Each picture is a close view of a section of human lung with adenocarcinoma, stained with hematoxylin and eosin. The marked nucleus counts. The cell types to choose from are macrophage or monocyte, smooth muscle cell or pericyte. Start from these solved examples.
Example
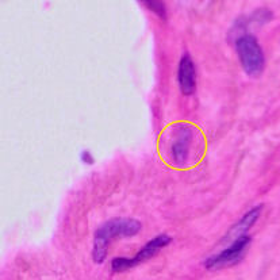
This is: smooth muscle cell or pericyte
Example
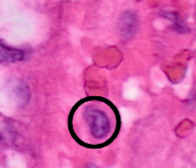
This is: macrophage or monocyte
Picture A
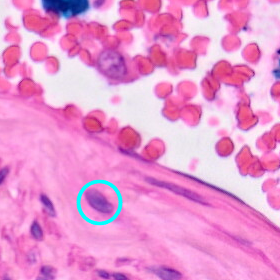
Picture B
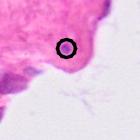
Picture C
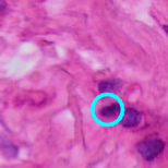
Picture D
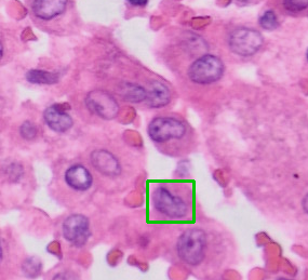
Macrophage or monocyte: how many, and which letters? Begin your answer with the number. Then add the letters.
1: D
